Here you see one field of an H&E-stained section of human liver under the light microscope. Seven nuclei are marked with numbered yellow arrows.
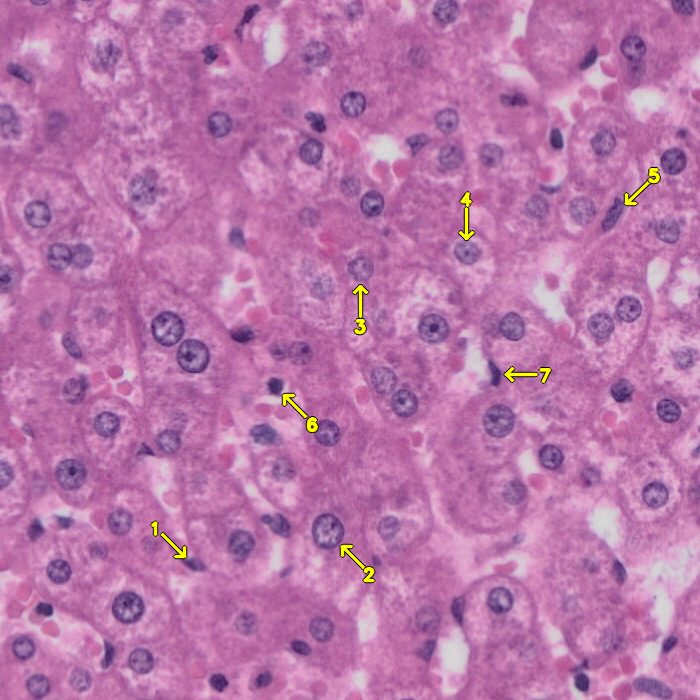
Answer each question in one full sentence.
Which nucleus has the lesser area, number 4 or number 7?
With nucleus 4 about 2 times its size, nucleus 7 is the smaller of the two.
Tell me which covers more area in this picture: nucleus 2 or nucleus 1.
Of the two, number 2 is bigger and takes up about 3 times the area of number 1.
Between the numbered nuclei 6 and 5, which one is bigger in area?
Nucleus 5 covers more area, about 2 times as much as nucleus 6.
